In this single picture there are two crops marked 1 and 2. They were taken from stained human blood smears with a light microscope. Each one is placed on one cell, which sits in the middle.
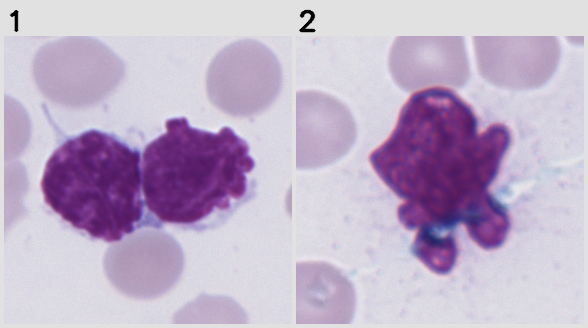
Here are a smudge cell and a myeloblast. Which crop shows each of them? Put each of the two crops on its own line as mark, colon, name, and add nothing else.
1: myeloblast
2: smudge cell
